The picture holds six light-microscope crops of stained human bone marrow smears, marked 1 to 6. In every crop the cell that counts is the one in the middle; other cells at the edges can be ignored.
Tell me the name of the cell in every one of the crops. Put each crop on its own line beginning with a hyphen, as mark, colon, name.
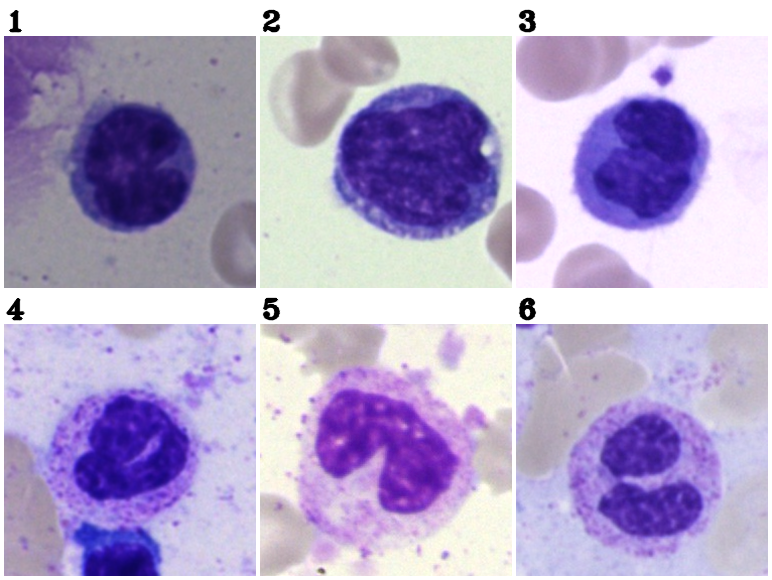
- 1: monocyte
- 2: monocyte
- 3: monocyte
- 4: segmented neutrophil
- 5: band neutrophil
- 6: segmented neutrophil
